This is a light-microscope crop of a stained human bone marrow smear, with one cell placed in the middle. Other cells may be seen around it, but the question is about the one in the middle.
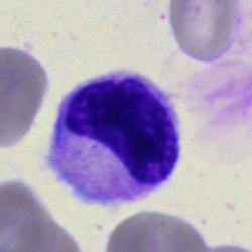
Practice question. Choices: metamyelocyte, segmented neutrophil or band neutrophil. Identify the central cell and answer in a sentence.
As for the cell in the middle, it is a metamyelocyte.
